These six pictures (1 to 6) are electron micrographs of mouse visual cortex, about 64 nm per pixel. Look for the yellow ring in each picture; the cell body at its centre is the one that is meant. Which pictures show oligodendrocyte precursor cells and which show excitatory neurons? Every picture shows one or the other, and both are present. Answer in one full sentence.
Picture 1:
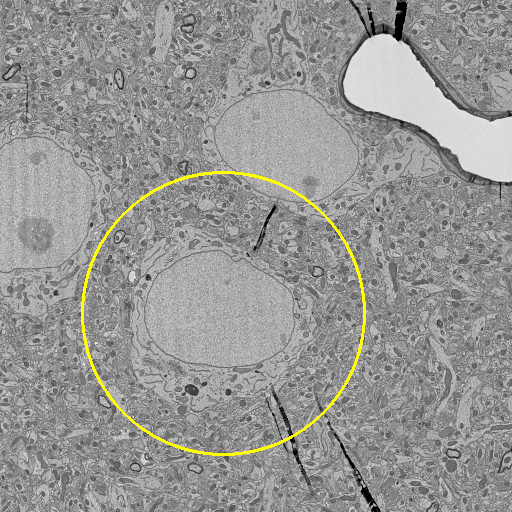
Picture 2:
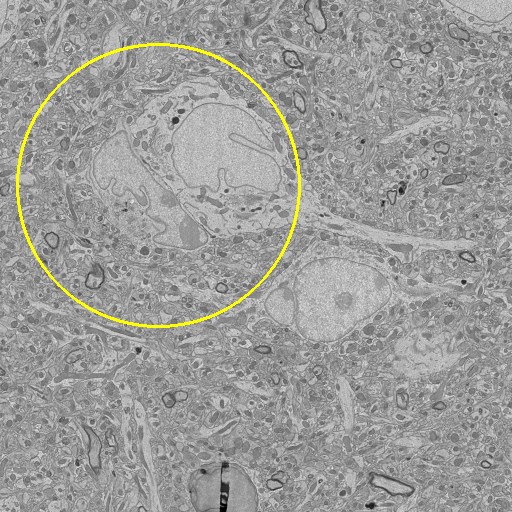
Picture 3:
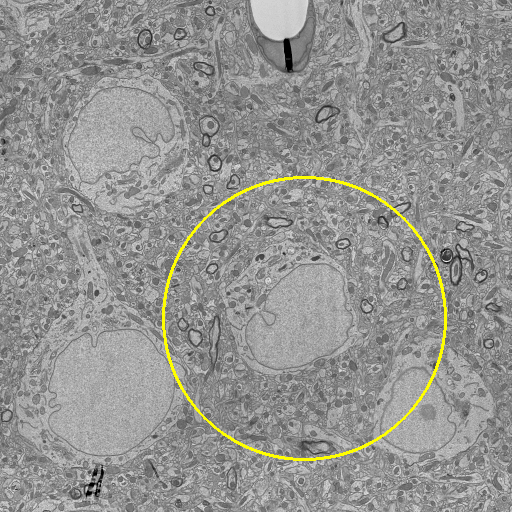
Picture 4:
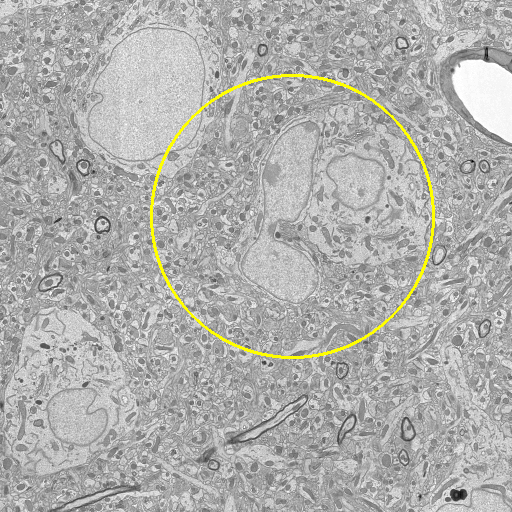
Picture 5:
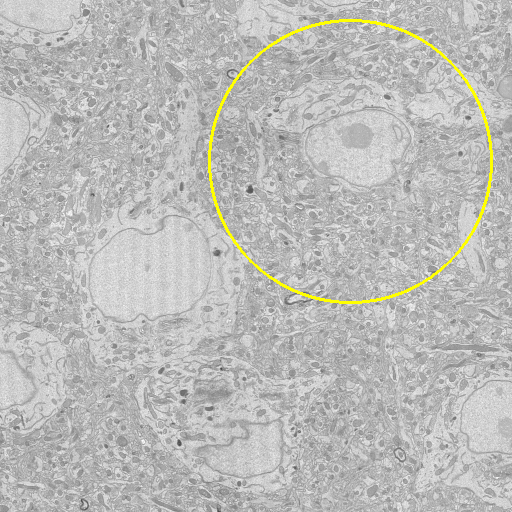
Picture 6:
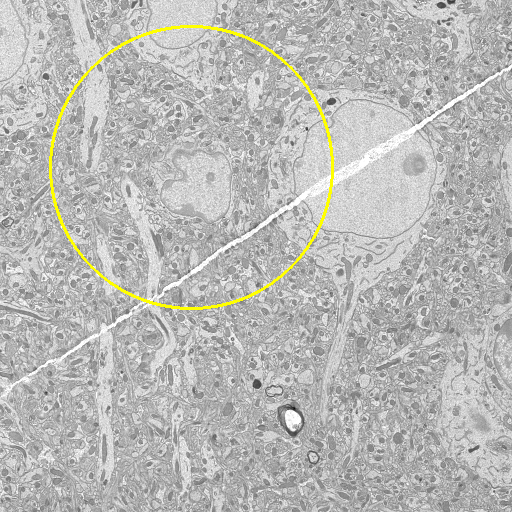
Pictures 2, 4, 5 and 6 show oligodendrocyte precursor cells, while pictures 1 and 3 show excitatory neurons.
